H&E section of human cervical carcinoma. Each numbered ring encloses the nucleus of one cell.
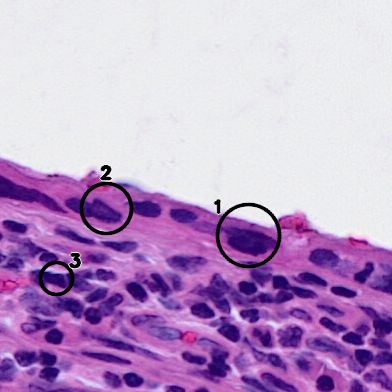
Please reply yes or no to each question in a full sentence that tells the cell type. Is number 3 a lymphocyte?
Yes, the cell with the number 3 is a lymphocyte.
